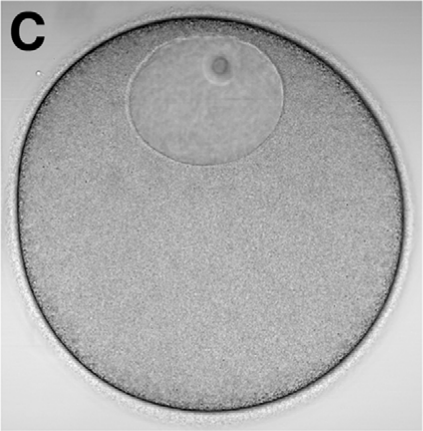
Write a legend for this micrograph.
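This is a bright field view of a single large, nearly spherical immature oocyte. The cytoplasm is finely granular throughout, and the cell is bounded by a dark, sharply defined edge. Near the top lies a large, pale, round germinal vesicle with a smooth outline, containing a small dark nucleolus.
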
